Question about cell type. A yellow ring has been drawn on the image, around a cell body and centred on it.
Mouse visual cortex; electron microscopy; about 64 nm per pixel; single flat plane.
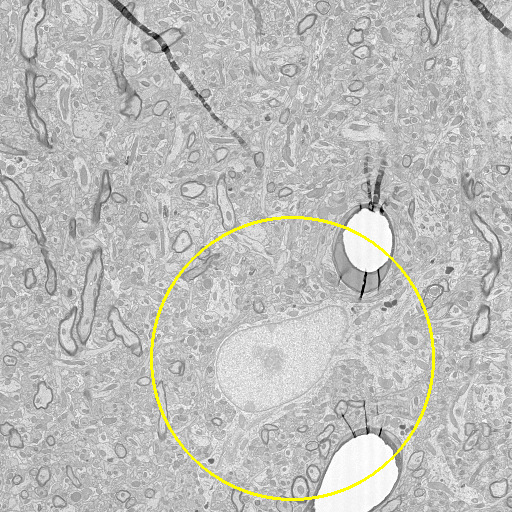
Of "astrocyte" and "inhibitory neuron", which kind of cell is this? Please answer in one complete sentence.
At the centre of the ring lies an astrocyte.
